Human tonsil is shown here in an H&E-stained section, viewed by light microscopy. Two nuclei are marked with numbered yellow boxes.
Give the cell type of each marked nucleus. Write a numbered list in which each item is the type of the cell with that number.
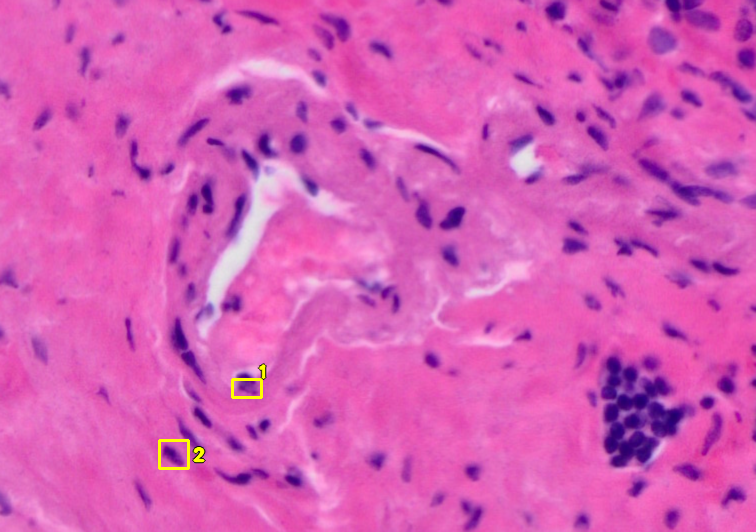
1. endothelial cell
2. mast cell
